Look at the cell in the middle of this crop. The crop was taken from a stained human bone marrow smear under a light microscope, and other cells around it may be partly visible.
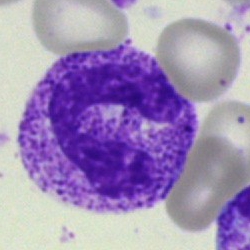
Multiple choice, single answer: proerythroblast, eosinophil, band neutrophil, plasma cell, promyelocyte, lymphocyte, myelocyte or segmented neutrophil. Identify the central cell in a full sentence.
The cell the crop is centered on is a band neutrophil.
